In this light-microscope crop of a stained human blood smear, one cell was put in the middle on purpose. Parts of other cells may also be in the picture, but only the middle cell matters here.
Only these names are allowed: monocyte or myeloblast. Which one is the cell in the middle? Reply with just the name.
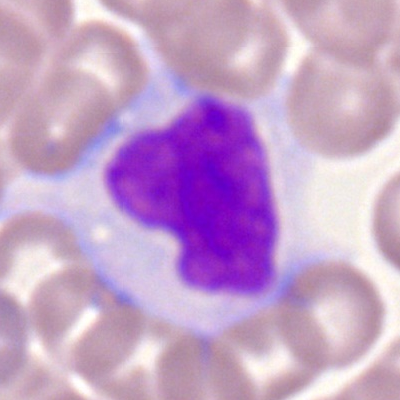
monocyte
